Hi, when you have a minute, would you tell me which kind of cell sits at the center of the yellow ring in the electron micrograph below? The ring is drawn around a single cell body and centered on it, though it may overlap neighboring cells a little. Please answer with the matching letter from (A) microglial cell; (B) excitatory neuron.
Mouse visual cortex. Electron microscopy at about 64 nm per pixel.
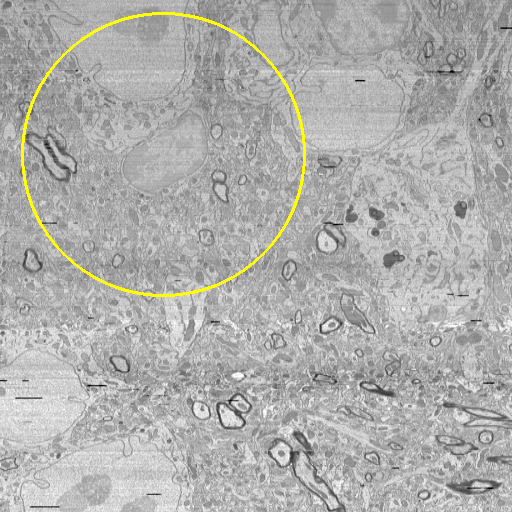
A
